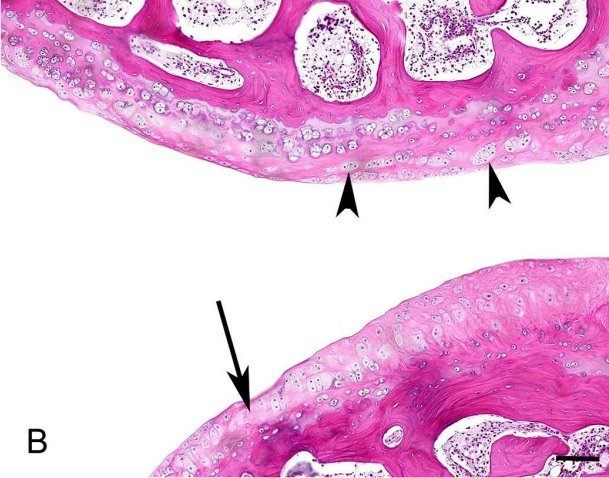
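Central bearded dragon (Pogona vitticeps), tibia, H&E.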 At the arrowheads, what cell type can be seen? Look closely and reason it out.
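Rounded cells sit in clear lacunae in a pale matrix. The cells lie in small clusters. That points to this answer: chondrocytes.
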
